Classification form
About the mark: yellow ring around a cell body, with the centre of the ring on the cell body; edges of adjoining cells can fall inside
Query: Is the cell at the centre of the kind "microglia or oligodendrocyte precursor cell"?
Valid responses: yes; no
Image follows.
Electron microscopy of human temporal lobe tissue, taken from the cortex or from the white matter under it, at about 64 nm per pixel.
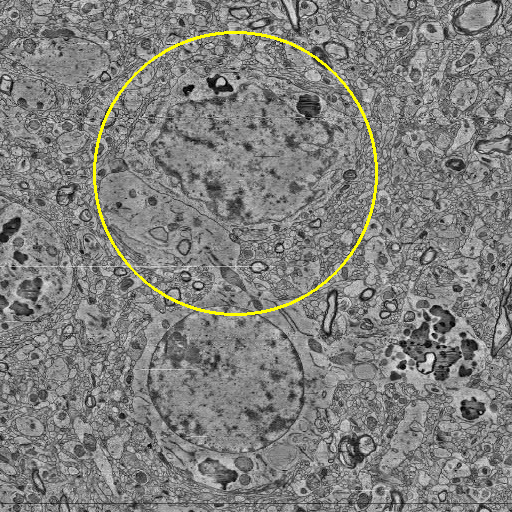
no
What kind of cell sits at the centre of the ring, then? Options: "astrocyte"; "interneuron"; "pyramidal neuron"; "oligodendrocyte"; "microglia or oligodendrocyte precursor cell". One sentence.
As it turns out, the cell at the ring centre is an interneuron.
